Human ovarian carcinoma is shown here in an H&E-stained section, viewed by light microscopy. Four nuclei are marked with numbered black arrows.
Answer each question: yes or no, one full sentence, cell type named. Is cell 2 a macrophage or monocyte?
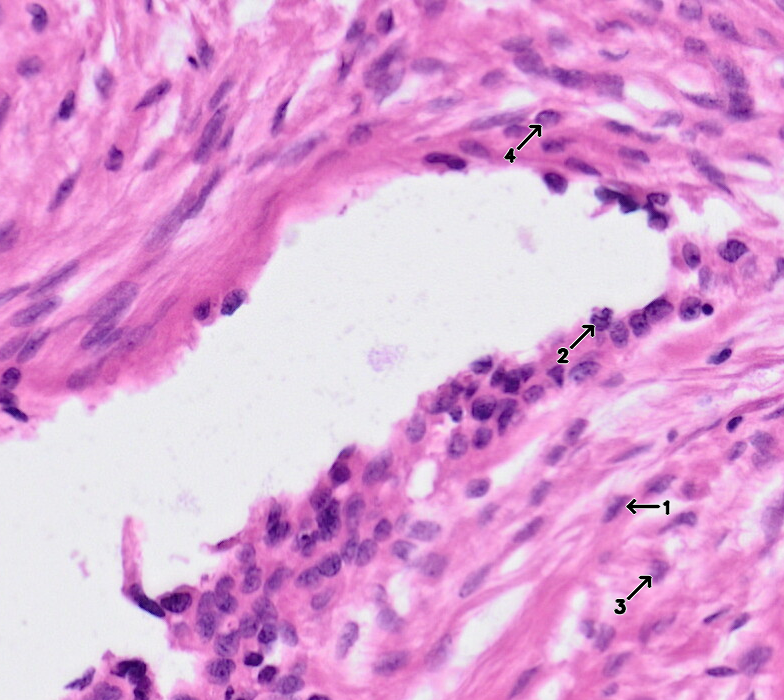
Yes, the cell identified by number 2 is a macrophage or monocyte.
